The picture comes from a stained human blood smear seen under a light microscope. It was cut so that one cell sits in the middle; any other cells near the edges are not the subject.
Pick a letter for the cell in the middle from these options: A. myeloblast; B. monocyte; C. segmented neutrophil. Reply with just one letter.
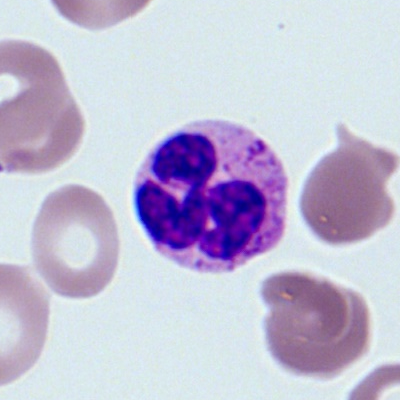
C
